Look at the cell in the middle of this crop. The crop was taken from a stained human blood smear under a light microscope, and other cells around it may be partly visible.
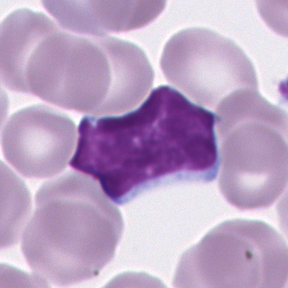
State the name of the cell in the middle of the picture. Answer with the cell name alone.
typical lymphocyte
